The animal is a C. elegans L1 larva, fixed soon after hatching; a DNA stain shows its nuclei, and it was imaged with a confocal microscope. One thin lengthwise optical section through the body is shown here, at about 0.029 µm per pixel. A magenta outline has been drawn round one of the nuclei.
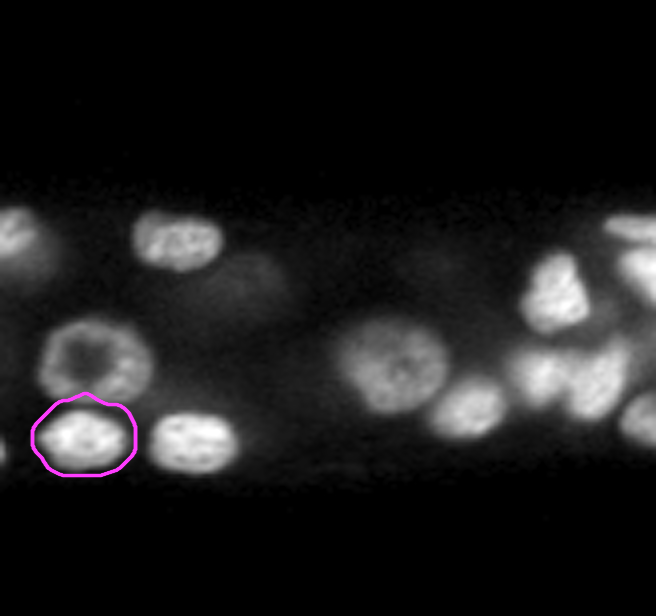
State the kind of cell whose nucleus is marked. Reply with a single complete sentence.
The marked cell is a neuron.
